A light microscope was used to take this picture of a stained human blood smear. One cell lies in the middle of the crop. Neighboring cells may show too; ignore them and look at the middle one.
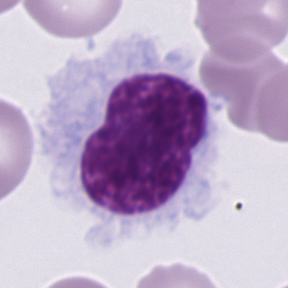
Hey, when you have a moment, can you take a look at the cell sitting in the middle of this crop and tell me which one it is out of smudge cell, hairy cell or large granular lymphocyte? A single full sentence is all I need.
Of the cells in this crop, the central one is a hairy cell.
